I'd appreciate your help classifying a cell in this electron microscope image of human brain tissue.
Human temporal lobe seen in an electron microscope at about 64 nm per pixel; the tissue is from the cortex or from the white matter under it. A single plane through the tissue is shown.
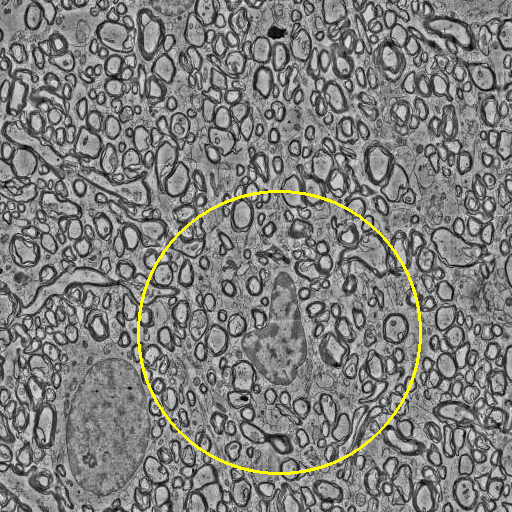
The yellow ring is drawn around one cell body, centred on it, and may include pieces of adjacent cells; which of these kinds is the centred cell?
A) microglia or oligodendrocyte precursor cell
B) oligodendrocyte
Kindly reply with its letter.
A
